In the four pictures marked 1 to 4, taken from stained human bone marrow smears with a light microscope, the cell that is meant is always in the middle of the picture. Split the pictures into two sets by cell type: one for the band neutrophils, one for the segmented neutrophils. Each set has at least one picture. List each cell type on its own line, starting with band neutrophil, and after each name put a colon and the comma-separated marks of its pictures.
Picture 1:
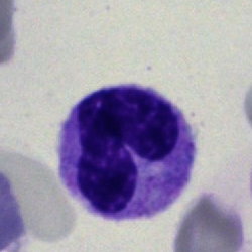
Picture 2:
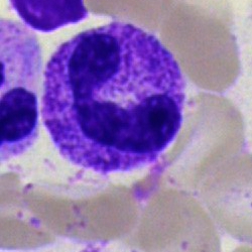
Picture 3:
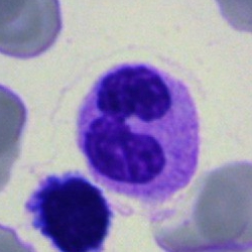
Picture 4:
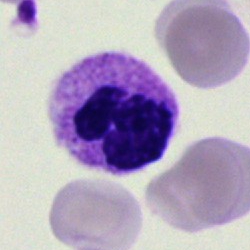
band neutrophil: 1
segmented neutrophil: 2, 3, 4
